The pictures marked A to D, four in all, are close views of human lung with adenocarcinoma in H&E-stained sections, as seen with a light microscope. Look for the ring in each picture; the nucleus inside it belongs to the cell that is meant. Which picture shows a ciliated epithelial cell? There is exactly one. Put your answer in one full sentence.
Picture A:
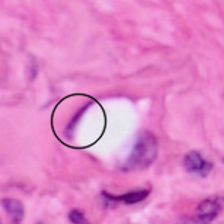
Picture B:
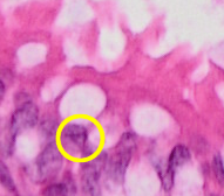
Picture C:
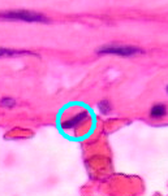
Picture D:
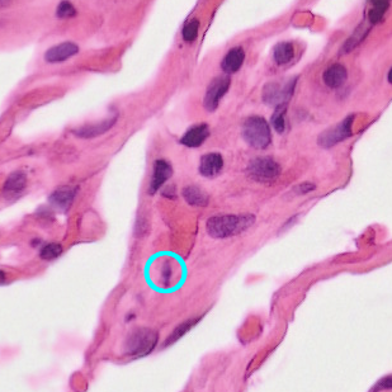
It is picture B that shows the ciliated epithelial cell.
